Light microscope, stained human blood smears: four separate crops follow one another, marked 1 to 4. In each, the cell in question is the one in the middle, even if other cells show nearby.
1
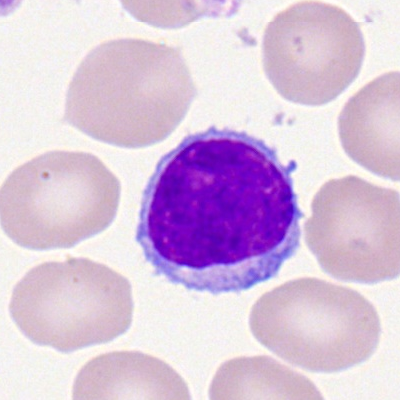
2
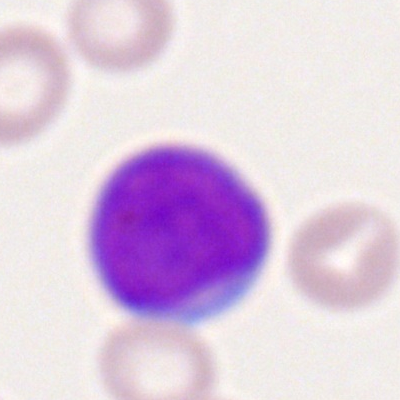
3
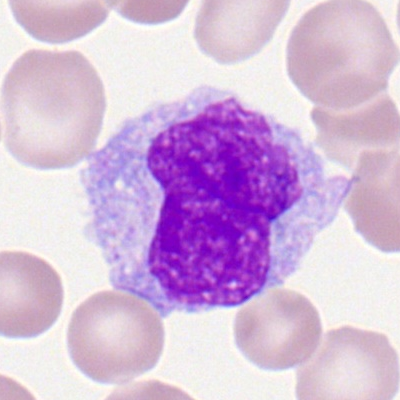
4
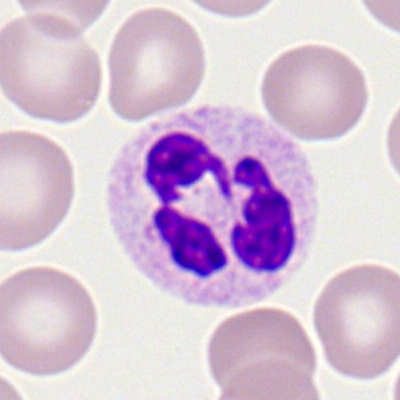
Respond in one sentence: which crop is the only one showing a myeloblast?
Crop 2 is the correct crop, and it shows a myeloblast.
